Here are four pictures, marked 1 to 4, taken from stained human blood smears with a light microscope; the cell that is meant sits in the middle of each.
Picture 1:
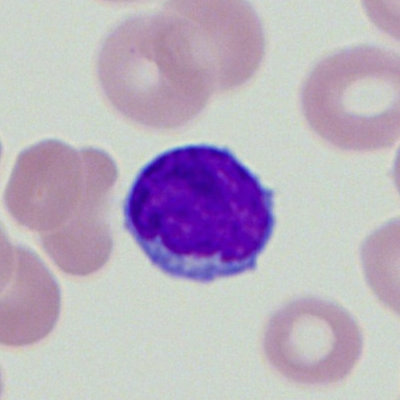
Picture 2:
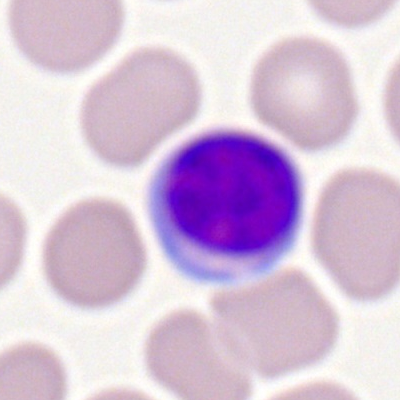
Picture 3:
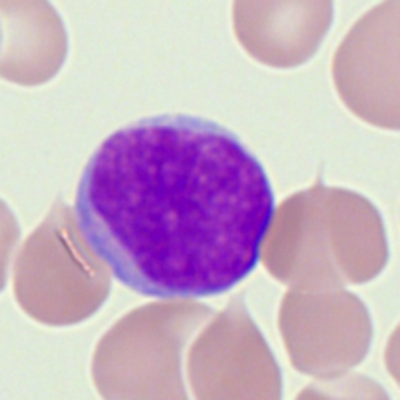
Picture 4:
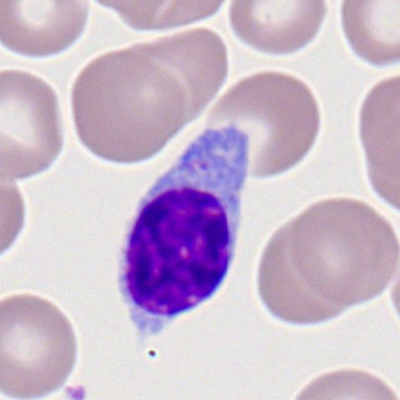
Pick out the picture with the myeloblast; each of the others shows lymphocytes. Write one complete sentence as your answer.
Picture 3 is the one that shows the myeloblast.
